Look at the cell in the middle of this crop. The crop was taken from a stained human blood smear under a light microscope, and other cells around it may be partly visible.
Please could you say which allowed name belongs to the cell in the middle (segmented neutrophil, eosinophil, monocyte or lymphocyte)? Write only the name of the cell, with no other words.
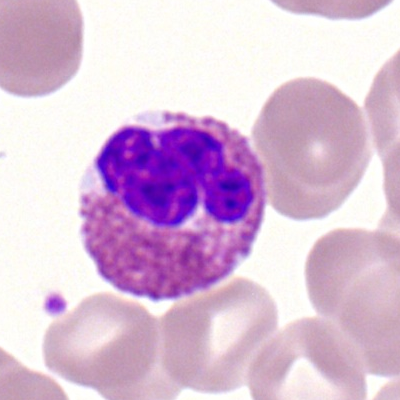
eosinophil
